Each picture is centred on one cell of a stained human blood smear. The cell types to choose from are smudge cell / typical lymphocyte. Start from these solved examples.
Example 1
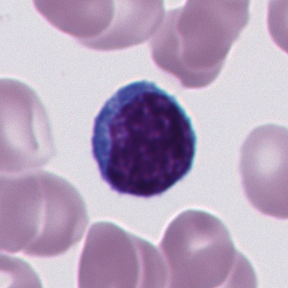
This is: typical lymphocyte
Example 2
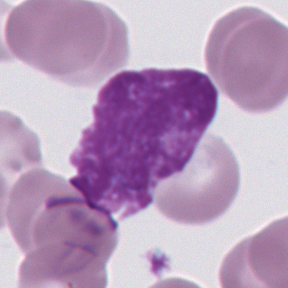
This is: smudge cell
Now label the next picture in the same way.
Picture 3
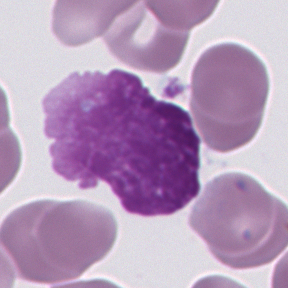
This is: smudge cell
